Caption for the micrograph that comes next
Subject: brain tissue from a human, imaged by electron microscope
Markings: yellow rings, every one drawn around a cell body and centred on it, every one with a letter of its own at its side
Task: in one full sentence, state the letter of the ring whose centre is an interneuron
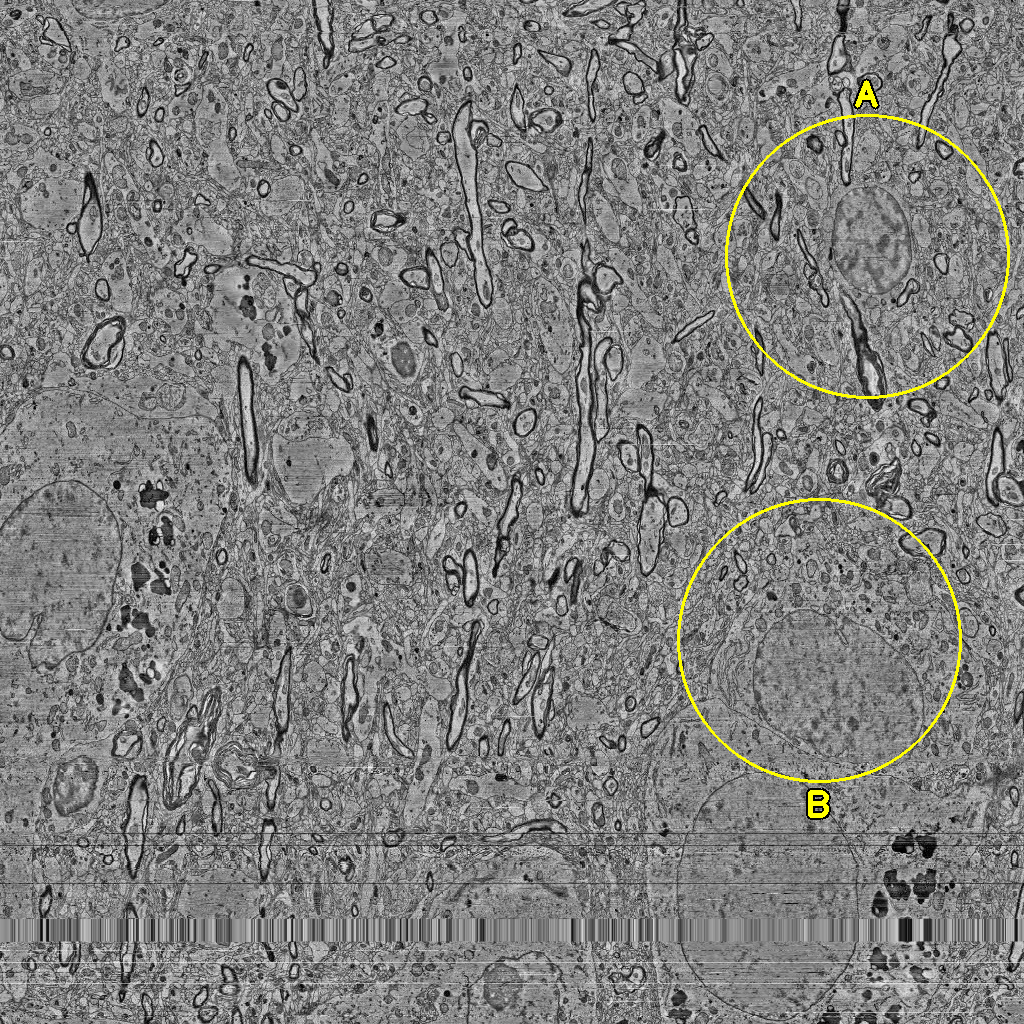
The ring centred on the cell asked for in this micrograph carries the letter B.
